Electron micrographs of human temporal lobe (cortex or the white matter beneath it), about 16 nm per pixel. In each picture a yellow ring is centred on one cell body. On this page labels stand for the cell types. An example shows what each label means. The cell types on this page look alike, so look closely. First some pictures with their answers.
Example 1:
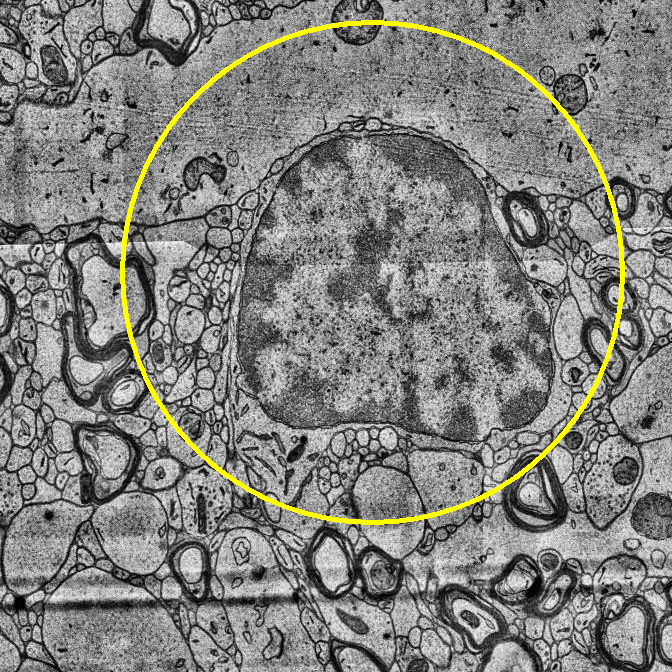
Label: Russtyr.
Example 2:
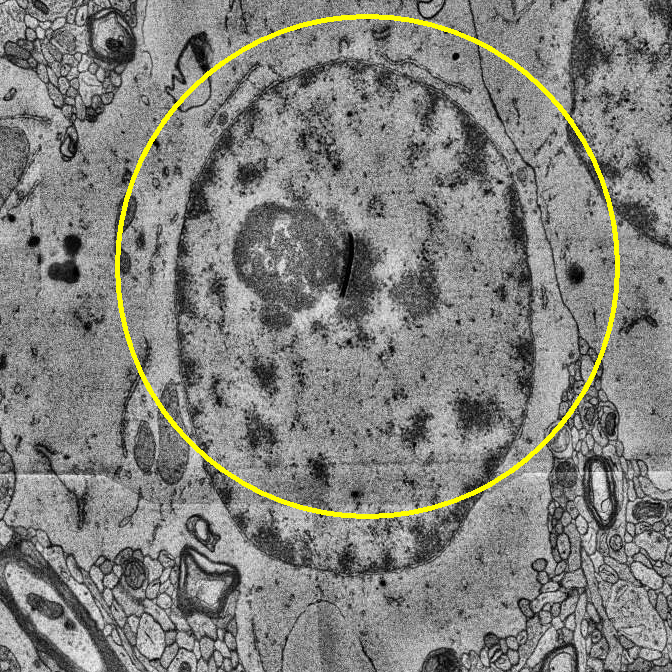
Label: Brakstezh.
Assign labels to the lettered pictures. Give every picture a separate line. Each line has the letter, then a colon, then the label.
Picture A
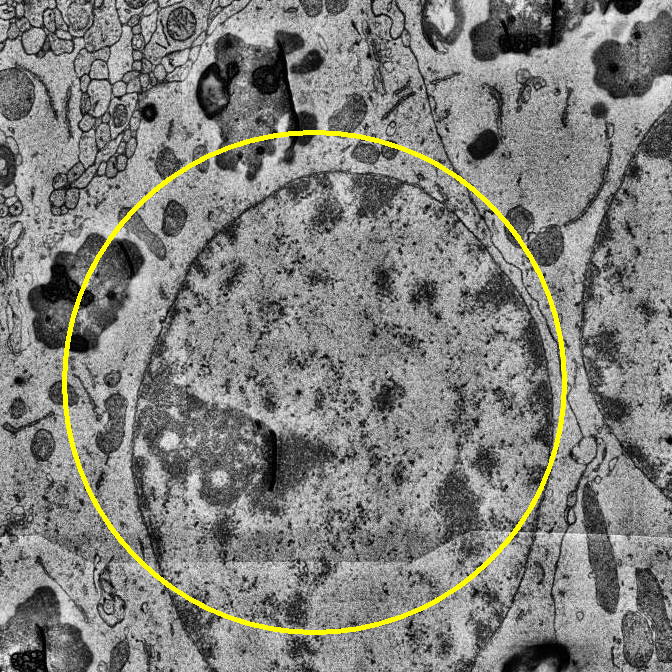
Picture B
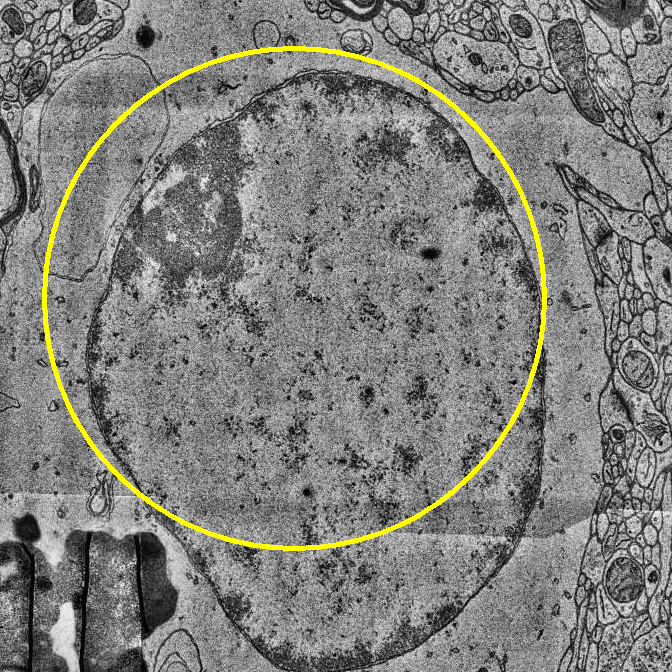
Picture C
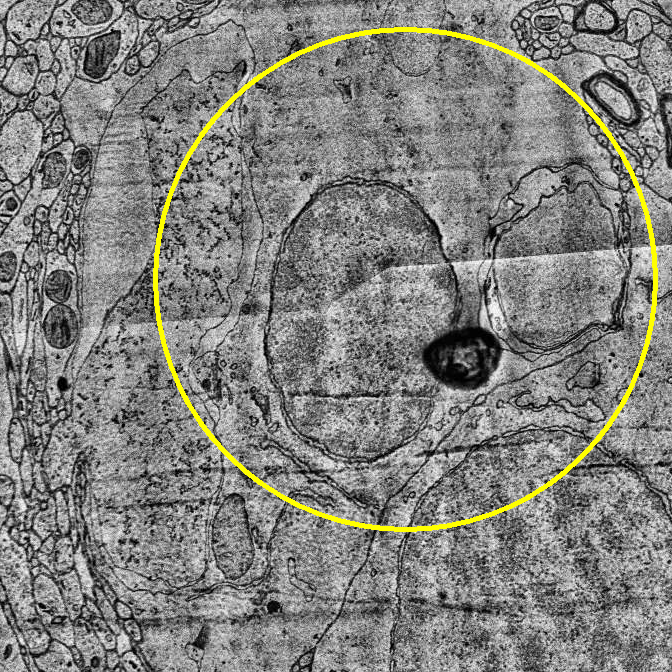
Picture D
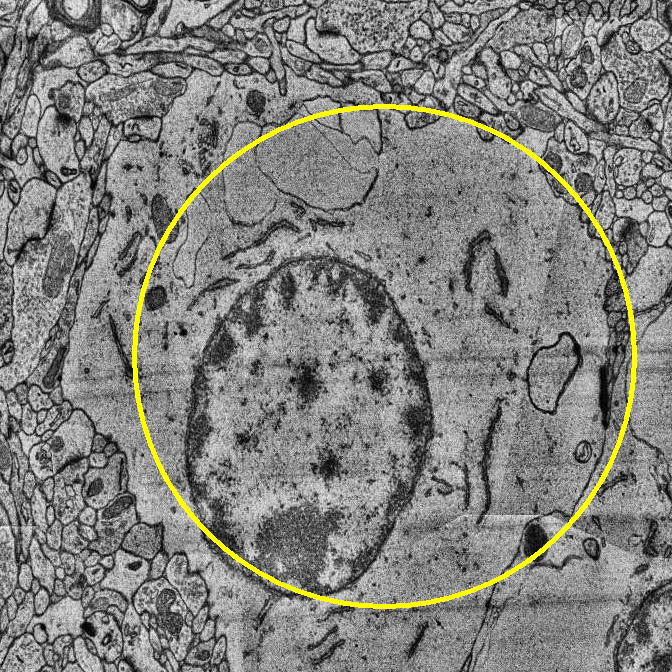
A: Brakstezh.
B: Brakstezh.
C: Brakstezh.
D: Brakstezh.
